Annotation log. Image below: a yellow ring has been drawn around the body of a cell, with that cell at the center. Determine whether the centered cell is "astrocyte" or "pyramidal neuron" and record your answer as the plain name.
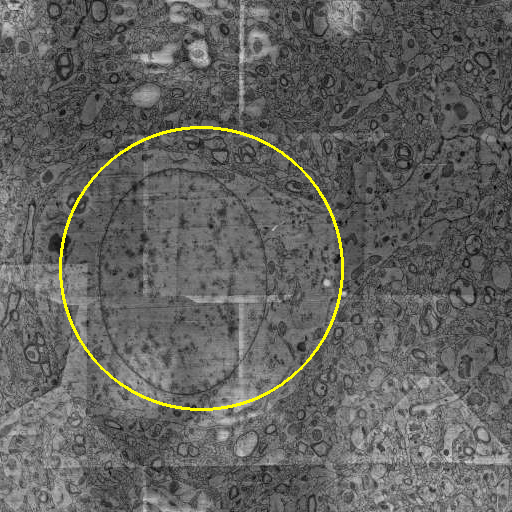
pyramidal neuron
